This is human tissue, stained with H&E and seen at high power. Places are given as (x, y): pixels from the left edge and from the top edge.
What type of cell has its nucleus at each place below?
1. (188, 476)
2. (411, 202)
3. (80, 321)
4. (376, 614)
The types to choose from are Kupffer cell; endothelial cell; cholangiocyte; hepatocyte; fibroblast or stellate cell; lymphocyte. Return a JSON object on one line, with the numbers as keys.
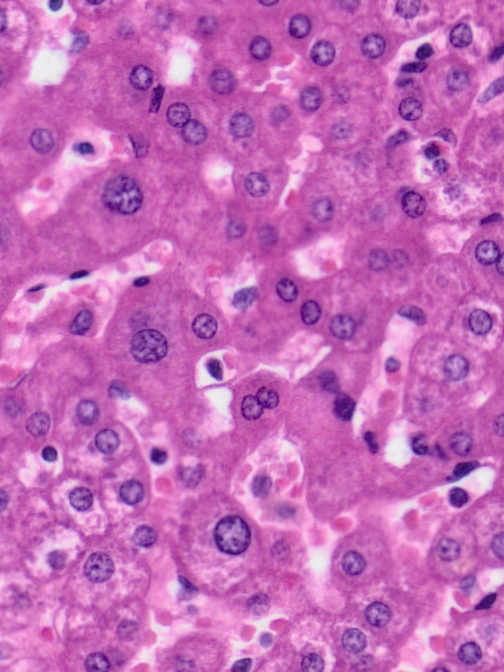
{"1": "hepatocyte", "2": "hepatocyte", "3": "Kupffer cell", "4": "hepatocyte"}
